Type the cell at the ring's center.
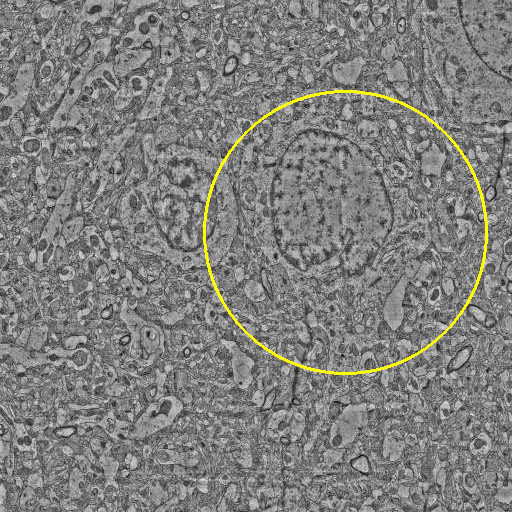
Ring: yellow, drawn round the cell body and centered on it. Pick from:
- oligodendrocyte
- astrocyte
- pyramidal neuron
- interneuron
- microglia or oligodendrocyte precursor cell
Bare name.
interneuron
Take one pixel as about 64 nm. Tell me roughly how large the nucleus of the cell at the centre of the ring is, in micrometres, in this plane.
Roughly 10 micrometres by 8 micrometres, in this plane.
